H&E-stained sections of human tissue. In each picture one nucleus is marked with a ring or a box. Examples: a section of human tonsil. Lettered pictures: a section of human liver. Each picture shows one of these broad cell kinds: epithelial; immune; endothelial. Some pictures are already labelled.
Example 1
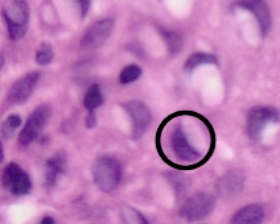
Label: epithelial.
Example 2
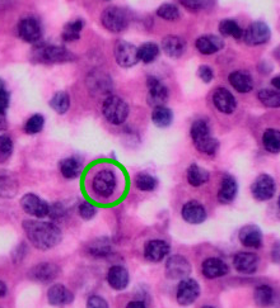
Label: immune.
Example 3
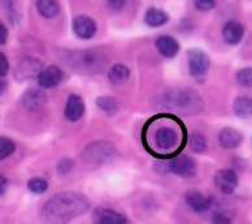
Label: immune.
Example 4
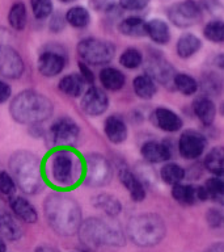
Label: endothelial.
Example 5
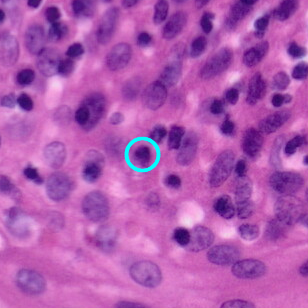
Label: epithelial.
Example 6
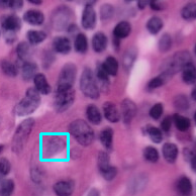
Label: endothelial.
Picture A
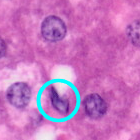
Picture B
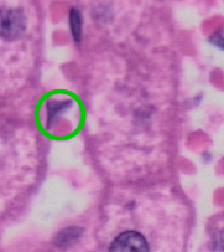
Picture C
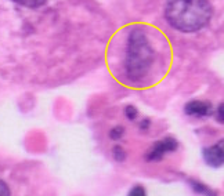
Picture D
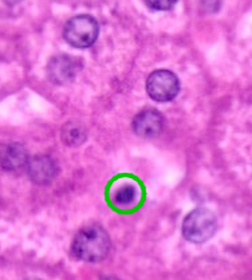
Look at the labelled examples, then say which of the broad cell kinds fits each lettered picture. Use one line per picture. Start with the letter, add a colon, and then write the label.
A: endothelial.
B: endothelial.
C: immune.
D: immune.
